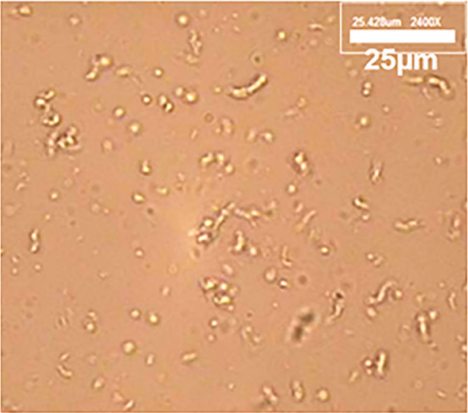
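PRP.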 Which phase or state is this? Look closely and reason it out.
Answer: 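Less-aggregated platelets. Most particles lie singly, scattered across the field. Only small clumps of a few particles are present, no large masses. Individual particles are a few micrometres across, much smaller than the 25 µm scale bar.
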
